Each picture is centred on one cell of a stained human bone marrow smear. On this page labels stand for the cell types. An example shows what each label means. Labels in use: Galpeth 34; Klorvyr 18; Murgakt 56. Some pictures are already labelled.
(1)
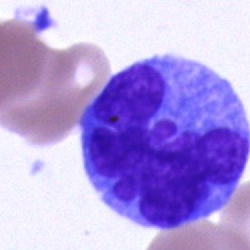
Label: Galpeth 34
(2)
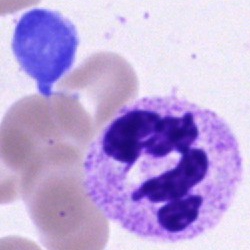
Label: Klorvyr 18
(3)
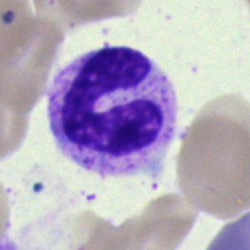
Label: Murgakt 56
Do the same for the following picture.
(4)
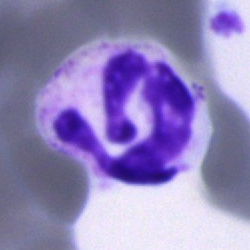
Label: Klorvyr 18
